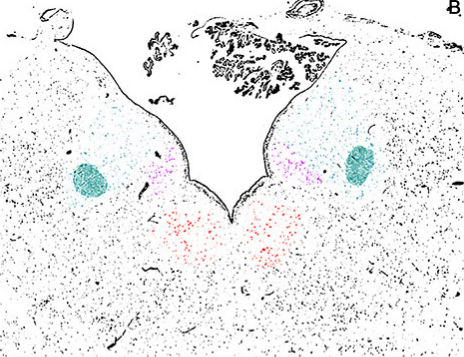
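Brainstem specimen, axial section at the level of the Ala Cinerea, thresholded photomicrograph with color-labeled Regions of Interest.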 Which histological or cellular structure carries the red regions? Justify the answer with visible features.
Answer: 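Two paired red clusters of dots lie on each side of the midline. They sit just below and beside the apex of the V-shaped ventricle floor. So: Hypoglossal Nucleus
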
